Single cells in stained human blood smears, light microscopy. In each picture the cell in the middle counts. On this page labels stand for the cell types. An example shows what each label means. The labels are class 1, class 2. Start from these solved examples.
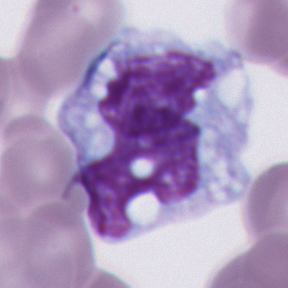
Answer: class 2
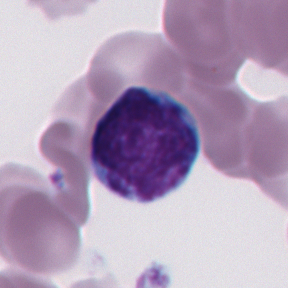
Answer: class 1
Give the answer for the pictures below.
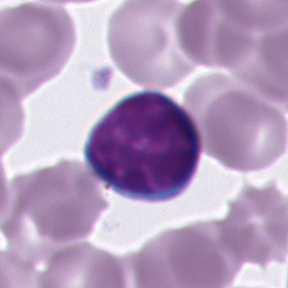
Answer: class 1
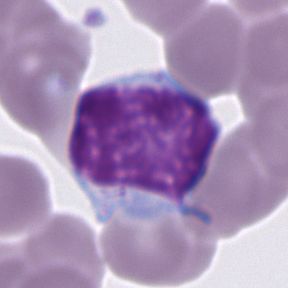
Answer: class 1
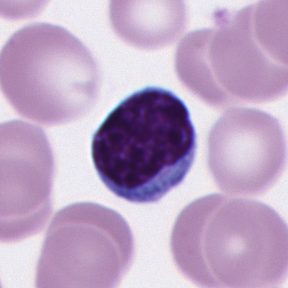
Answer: class 1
